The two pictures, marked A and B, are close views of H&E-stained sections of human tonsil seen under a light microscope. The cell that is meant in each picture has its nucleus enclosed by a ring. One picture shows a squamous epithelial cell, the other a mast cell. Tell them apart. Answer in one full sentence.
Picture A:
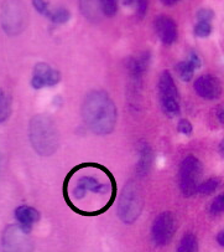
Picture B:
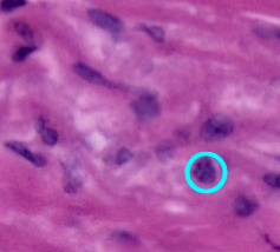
The cell in picture A is a squamous epithelial cell, and the one in picture B is a mast cell.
